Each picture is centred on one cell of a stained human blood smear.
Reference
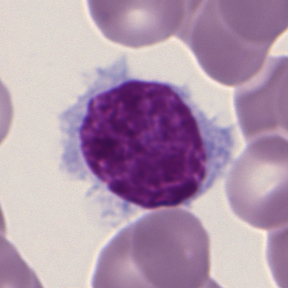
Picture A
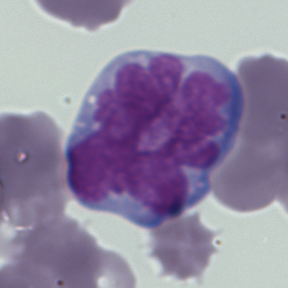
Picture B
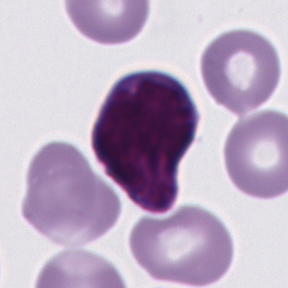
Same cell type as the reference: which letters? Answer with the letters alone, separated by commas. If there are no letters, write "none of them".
none of them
